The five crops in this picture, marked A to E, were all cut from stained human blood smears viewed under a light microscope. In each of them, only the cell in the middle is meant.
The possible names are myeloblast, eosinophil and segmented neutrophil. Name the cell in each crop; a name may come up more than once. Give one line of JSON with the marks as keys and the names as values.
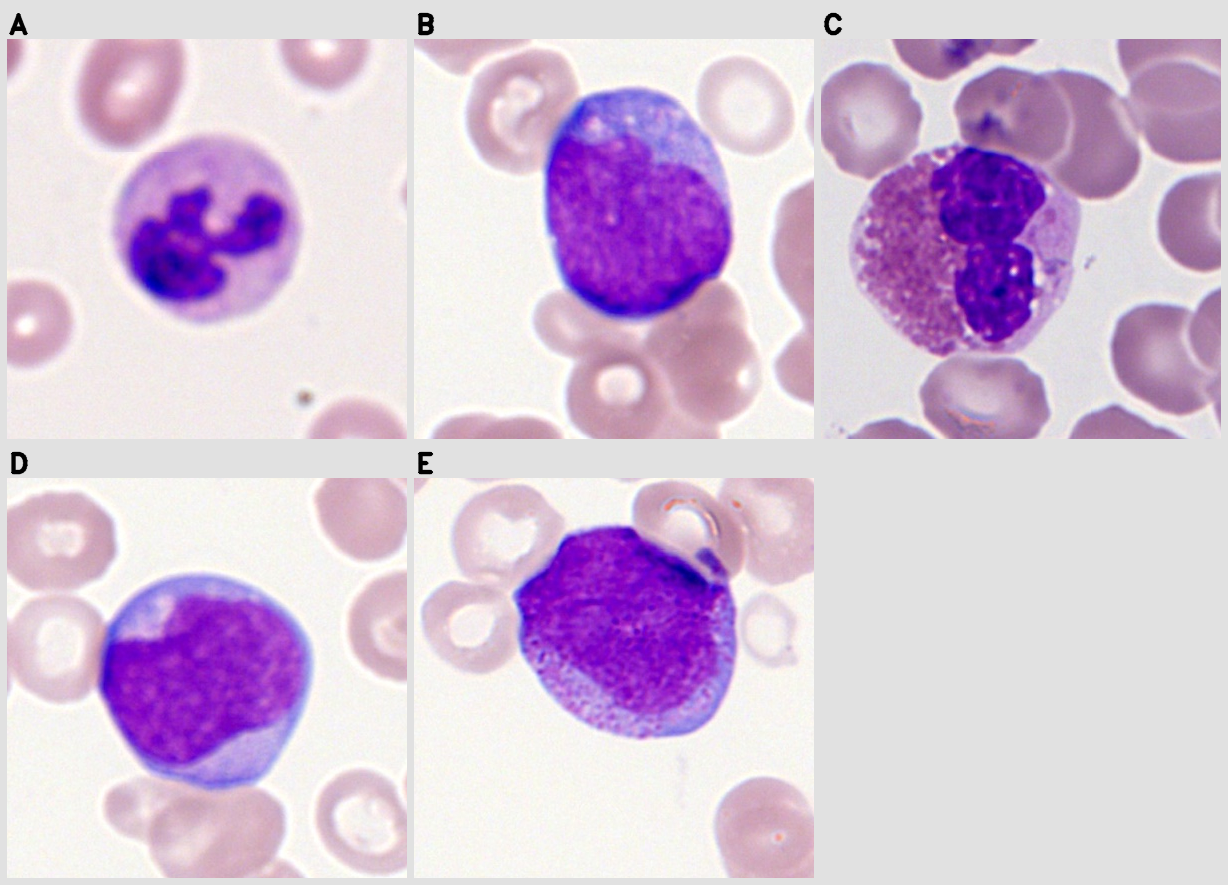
{"A": "segmented neutrophil", "B": "myeloblast", "C": "eosinophil", "D": "myeloblast", "E": "myeloblast"}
